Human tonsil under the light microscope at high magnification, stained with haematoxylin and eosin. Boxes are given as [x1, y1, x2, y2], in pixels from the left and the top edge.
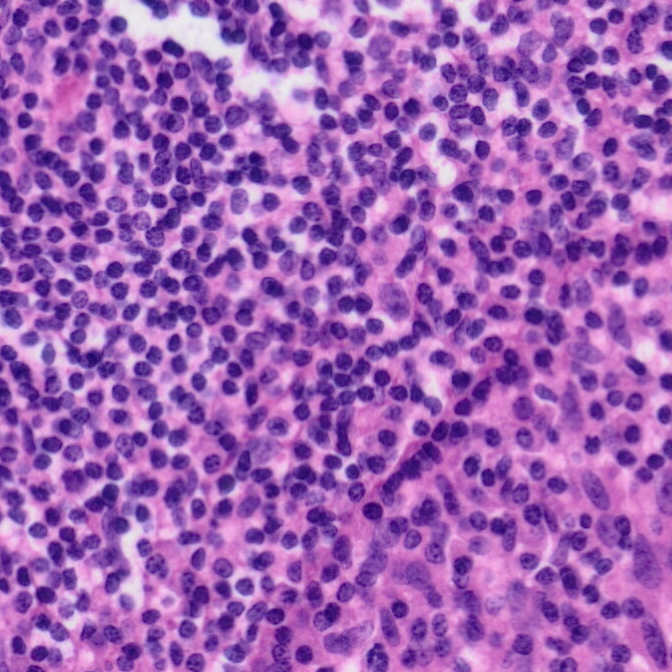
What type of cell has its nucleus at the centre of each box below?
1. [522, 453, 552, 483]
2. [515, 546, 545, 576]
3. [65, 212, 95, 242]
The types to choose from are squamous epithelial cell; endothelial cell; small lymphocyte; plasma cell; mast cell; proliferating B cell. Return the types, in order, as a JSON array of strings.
["plasma cell", "plasma cell", "small lymphocyte"]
